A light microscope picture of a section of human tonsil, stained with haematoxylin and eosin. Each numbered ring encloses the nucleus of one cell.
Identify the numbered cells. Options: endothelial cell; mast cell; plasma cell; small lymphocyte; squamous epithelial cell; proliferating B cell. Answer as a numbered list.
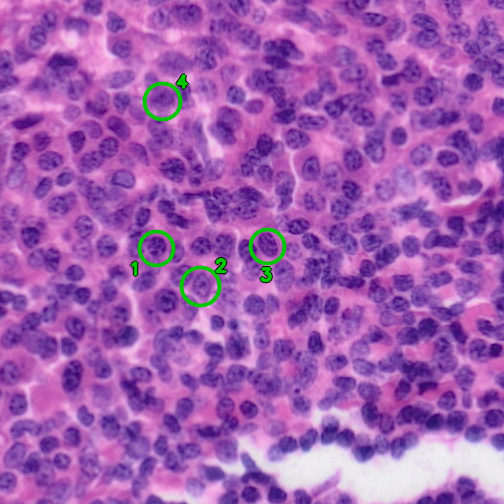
1. plasma cell
2. plasma cell
3. plasma cell
4. squamous epithelial cell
